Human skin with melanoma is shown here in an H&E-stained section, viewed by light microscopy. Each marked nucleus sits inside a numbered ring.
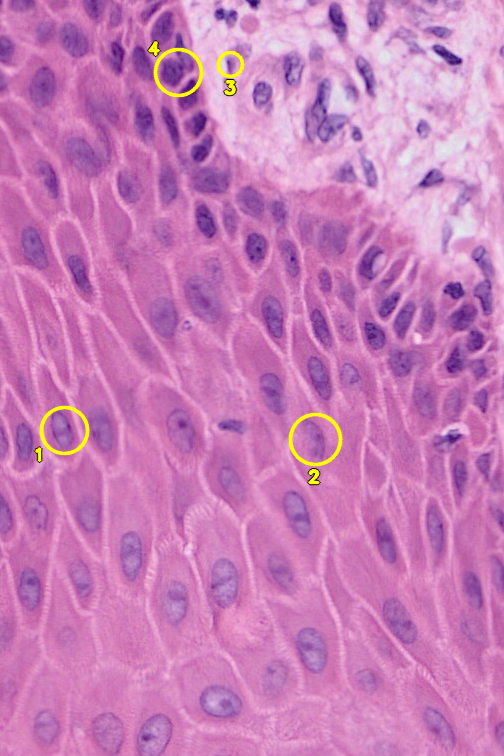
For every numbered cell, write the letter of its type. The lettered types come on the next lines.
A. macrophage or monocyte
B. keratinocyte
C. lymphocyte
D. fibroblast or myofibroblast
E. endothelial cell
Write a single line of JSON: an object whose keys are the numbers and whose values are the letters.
{"1": "B", "2": "B", "3": "D", "4": "B"}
